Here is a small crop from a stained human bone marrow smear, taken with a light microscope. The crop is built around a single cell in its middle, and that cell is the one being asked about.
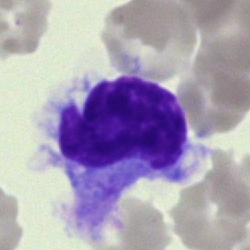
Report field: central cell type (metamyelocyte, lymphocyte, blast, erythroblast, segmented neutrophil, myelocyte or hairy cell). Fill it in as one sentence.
At the center of the crop sits a hairy cell.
